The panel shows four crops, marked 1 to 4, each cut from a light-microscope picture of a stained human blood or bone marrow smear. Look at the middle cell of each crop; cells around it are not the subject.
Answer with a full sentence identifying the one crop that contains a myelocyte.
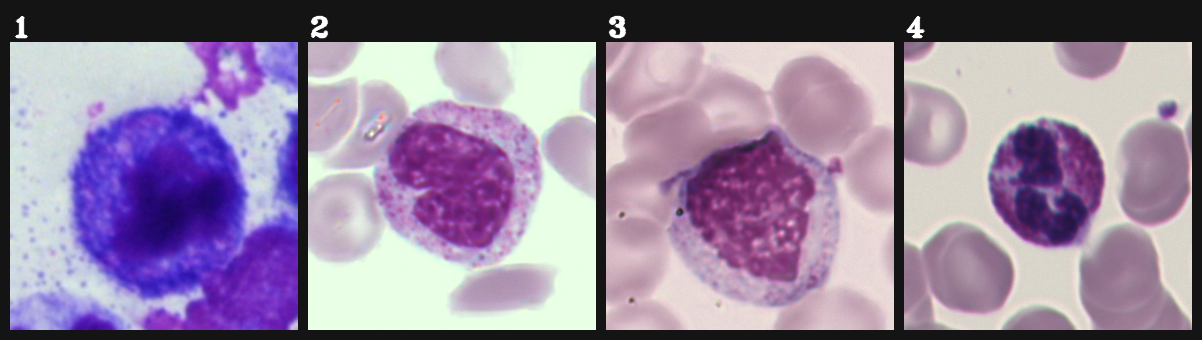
Crop 3 is the correct crop, and it shows a myelocyte.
